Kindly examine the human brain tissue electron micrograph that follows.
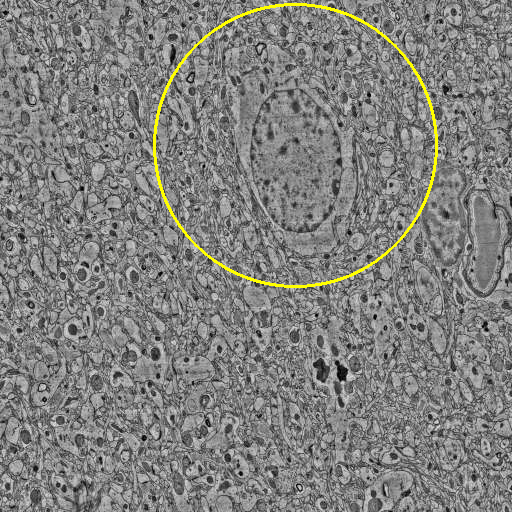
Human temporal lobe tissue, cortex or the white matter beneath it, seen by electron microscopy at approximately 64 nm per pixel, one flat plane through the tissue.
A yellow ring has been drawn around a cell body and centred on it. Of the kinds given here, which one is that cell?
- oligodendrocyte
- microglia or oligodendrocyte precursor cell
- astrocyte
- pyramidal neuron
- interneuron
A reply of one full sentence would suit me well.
The micrograph's ringed cell, the one at the ring's centre, is an astrocyte.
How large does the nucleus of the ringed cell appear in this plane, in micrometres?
The nucleus of the ringed cell is approximately 9 by 6 micrometres in this plane.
